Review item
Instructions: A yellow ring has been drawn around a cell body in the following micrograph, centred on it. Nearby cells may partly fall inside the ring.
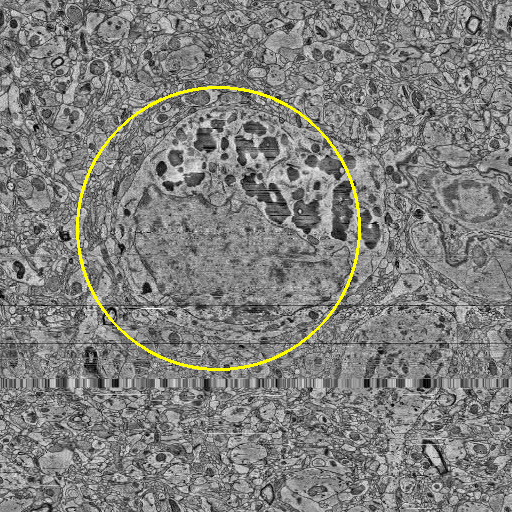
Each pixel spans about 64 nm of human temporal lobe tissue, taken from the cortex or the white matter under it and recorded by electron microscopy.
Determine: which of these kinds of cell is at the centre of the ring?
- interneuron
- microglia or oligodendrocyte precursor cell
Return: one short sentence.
The cell body in the middle of the ring is that of an interneuron.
